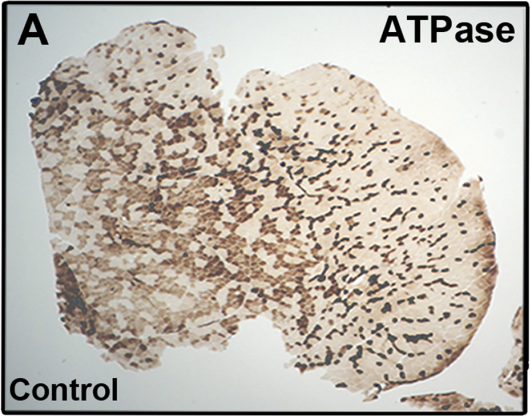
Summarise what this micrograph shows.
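Transverse section of a whole skeletal muscle showing a mosaic of muscle fibres cut in cross-section, stained dark brown or left pale. Dark fibres are packed densely in one region of the section, where they outnumber pale fibres, while toward the outer surface the dark fibres lie singly and scattered within a large field of pale fibres. The section outline is lobed with a notch at the top, and small gaps and folds are present near the edges.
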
